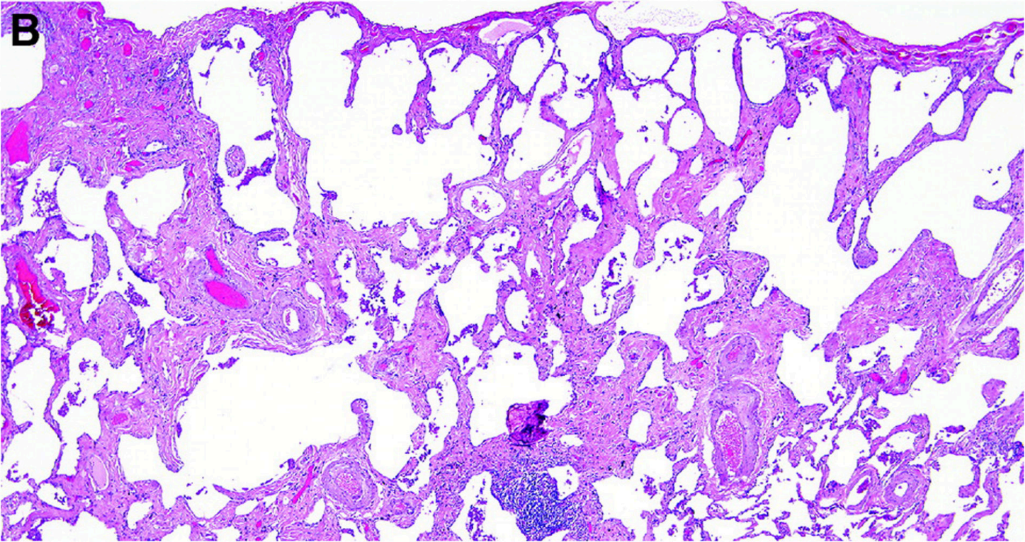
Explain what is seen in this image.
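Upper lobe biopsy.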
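This is lung parenchyma just beneath the pleura, showing thickened alveolar septa and enlarged airspaces. The septa are widened by pale pink, homogeneous fibrous tissue that contains few nuclei, and small blood vessels with thick walls lie within it. Between the thickened septa the airspaces are enlarged and some septa end as thin free strands. A small cluster of dark blue lymphoid cells sits in the lower middle beside a deep purple fragment.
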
